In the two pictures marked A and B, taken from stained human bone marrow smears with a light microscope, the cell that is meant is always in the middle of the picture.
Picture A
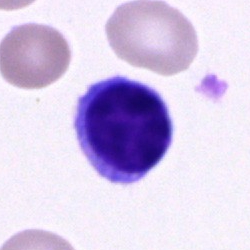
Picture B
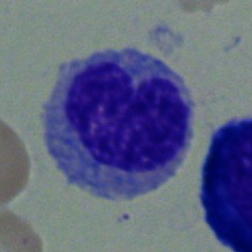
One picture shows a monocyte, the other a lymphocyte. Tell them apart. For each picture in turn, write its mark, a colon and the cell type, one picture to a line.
A: lymphocyte
B: monocyte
